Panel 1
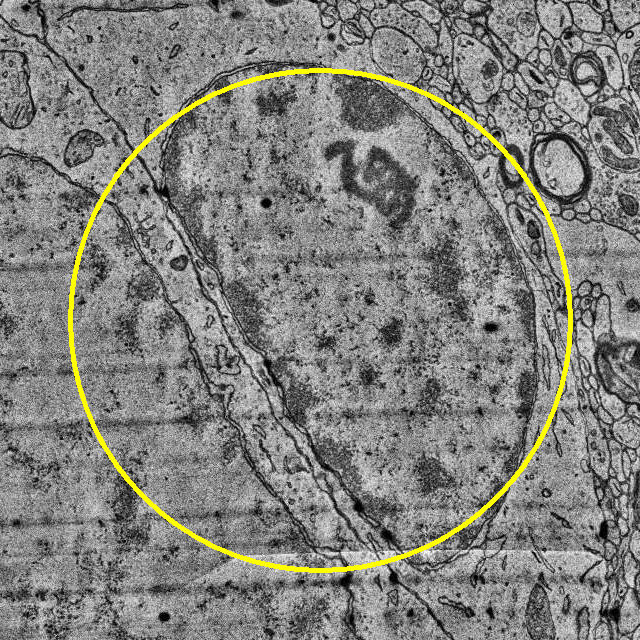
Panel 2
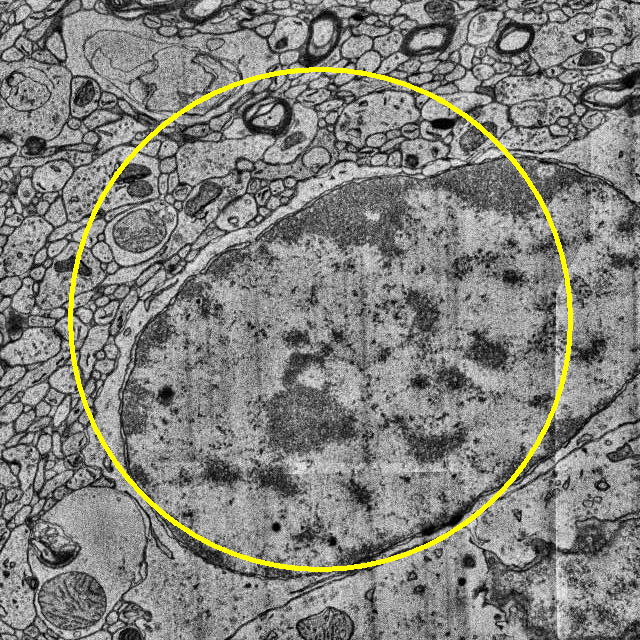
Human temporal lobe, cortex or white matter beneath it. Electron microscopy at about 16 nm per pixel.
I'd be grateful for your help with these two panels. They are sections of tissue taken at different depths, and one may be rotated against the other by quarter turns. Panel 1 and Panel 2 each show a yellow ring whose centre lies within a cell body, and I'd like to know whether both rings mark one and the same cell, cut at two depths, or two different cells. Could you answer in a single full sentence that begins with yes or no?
Yes, one and the same cell lies under both rings.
